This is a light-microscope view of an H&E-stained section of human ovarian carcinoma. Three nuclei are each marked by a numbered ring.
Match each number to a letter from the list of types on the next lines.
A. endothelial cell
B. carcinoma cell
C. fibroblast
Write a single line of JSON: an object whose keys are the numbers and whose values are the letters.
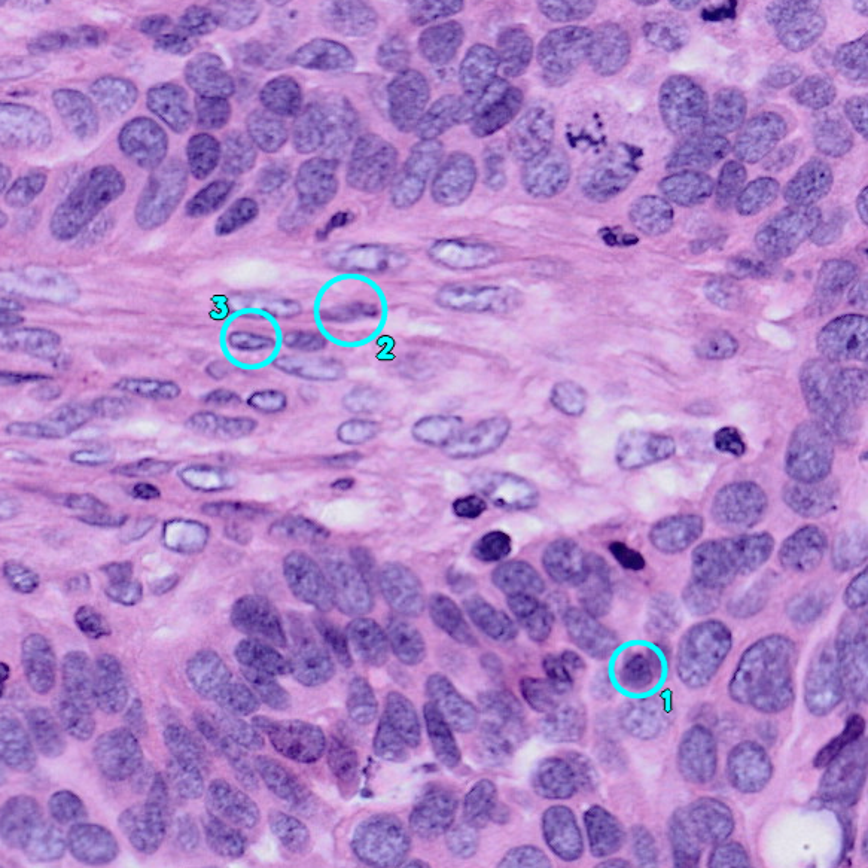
{"1": "B", "2": "C", "3": "C"}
